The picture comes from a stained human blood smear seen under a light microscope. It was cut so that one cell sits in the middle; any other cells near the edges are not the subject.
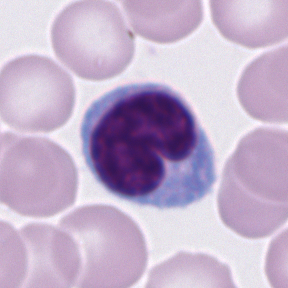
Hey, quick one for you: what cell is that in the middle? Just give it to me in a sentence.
The centrally located cell in the crop is a lymphocyte.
